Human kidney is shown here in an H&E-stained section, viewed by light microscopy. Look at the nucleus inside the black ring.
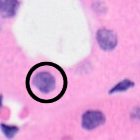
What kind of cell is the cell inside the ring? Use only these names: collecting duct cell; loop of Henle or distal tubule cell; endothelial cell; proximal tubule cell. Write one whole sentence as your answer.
This is a loop of Henle or distal tubule cell.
